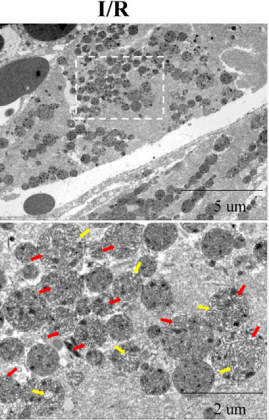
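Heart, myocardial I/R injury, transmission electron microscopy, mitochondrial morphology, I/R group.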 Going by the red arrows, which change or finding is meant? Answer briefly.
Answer: Cristae space was enlarged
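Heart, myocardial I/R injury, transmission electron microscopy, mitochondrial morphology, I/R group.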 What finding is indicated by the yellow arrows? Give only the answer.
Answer: The cristae became short or dissolved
